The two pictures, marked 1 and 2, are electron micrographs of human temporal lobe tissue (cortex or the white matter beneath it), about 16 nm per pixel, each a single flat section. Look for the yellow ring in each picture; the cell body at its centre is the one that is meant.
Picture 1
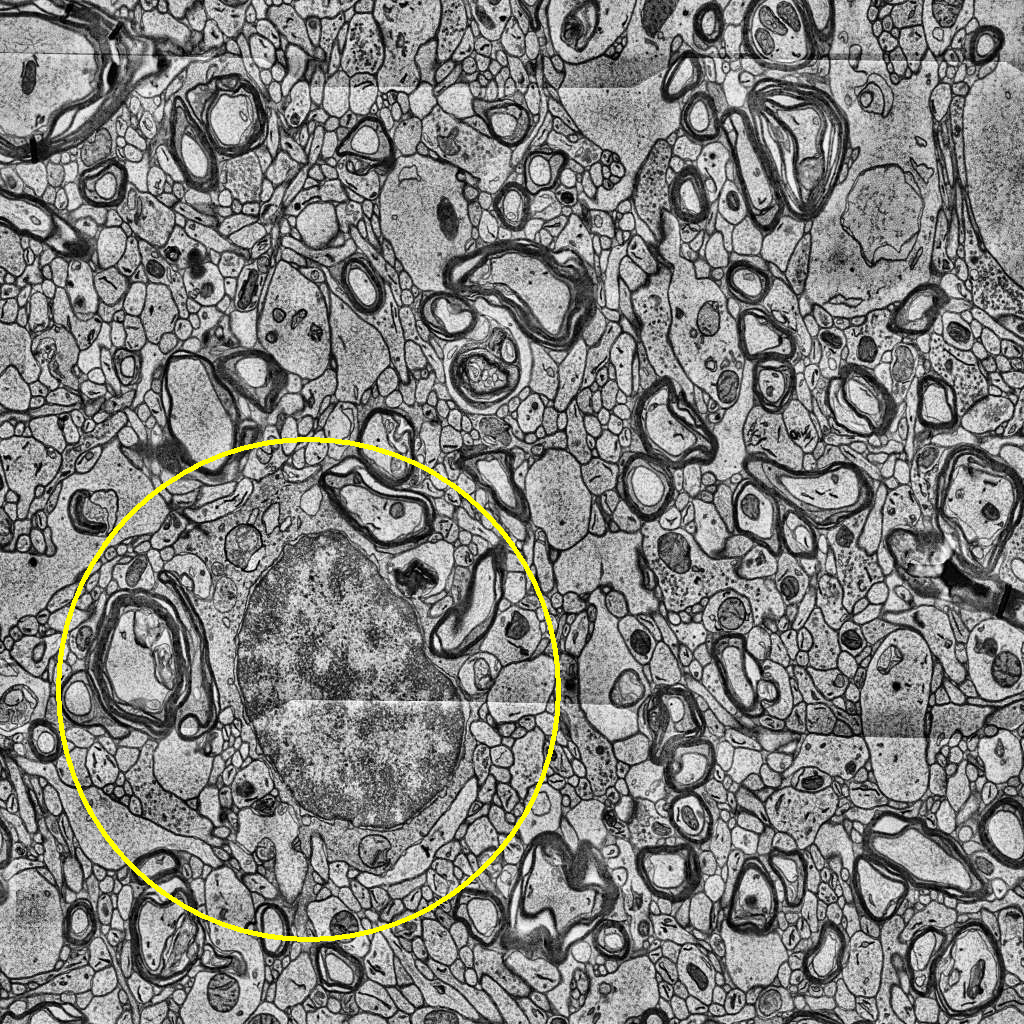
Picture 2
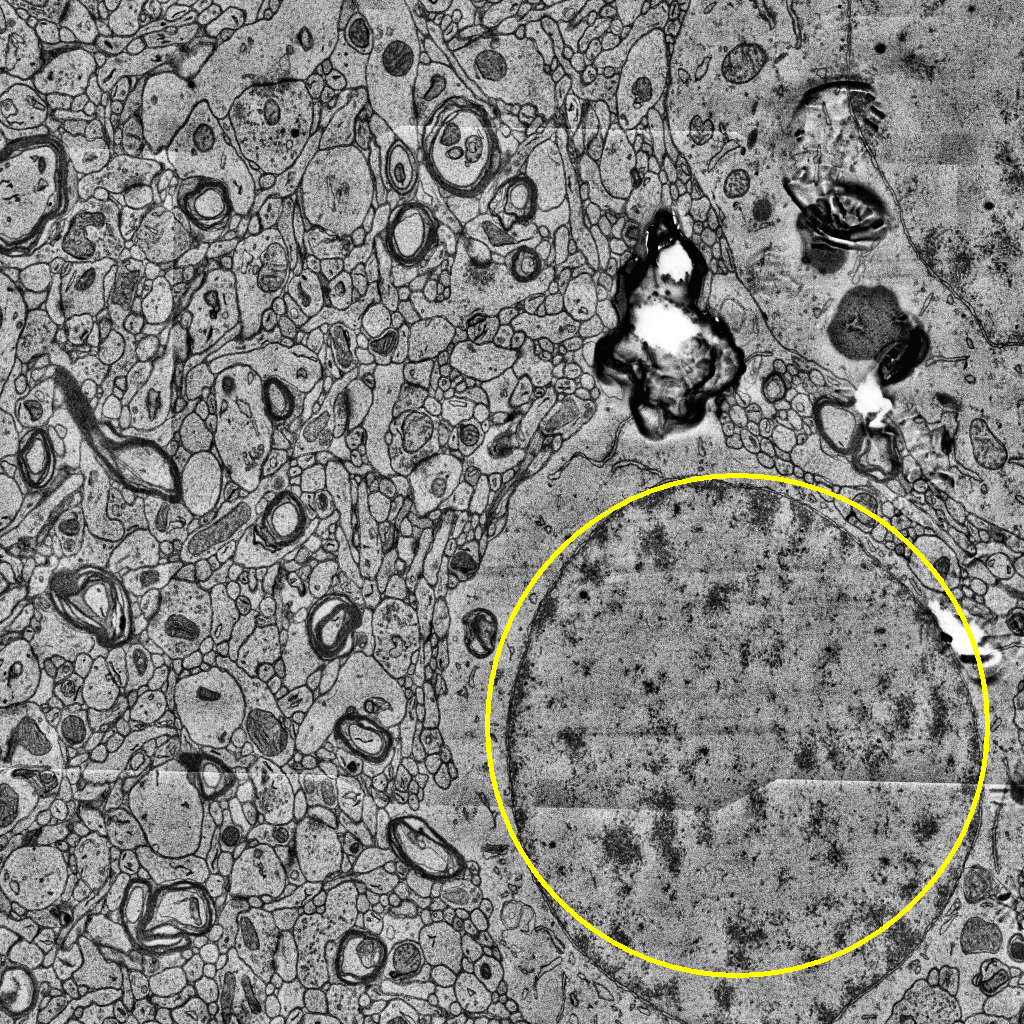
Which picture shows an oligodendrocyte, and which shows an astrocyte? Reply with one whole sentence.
Picture 1 is of an oligodendrocyte, and picture 2 is of an astrocyte.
